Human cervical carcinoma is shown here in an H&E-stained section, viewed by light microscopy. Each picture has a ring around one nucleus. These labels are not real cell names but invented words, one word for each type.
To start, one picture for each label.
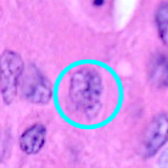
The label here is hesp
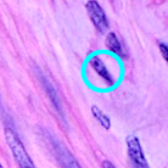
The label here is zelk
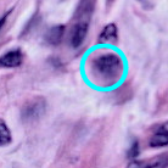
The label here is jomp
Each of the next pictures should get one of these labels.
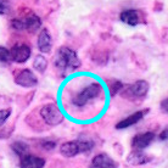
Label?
jomp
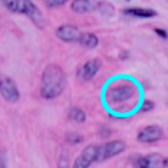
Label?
zelk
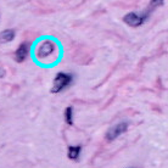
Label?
zelk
